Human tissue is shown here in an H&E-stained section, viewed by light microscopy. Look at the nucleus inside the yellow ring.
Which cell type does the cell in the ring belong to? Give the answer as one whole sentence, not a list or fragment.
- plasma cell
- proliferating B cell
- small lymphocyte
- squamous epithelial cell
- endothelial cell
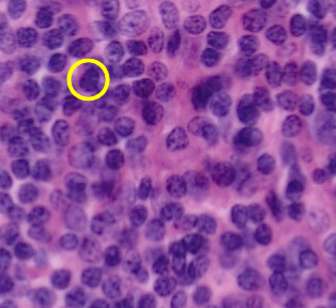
The expected answer is simply that the cell in the ring is a small lymphocyte.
